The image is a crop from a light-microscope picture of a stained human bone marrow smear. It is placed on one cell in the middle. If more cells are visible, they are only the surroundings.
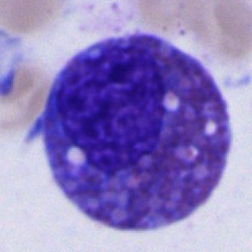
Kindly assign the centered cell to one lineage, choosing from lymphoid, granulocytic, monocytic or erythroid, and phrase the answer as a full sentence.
In terms of lineage, the cell in the middle is granulocytic.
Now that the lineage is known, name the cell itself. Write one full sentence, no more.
Looking at the middle of the crop, the cell there is an eosinophil.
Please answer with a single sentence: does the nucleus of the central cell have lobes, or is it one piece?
Between us, the nucleus here is just one compact mass, round, oval or kidney-shaped.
